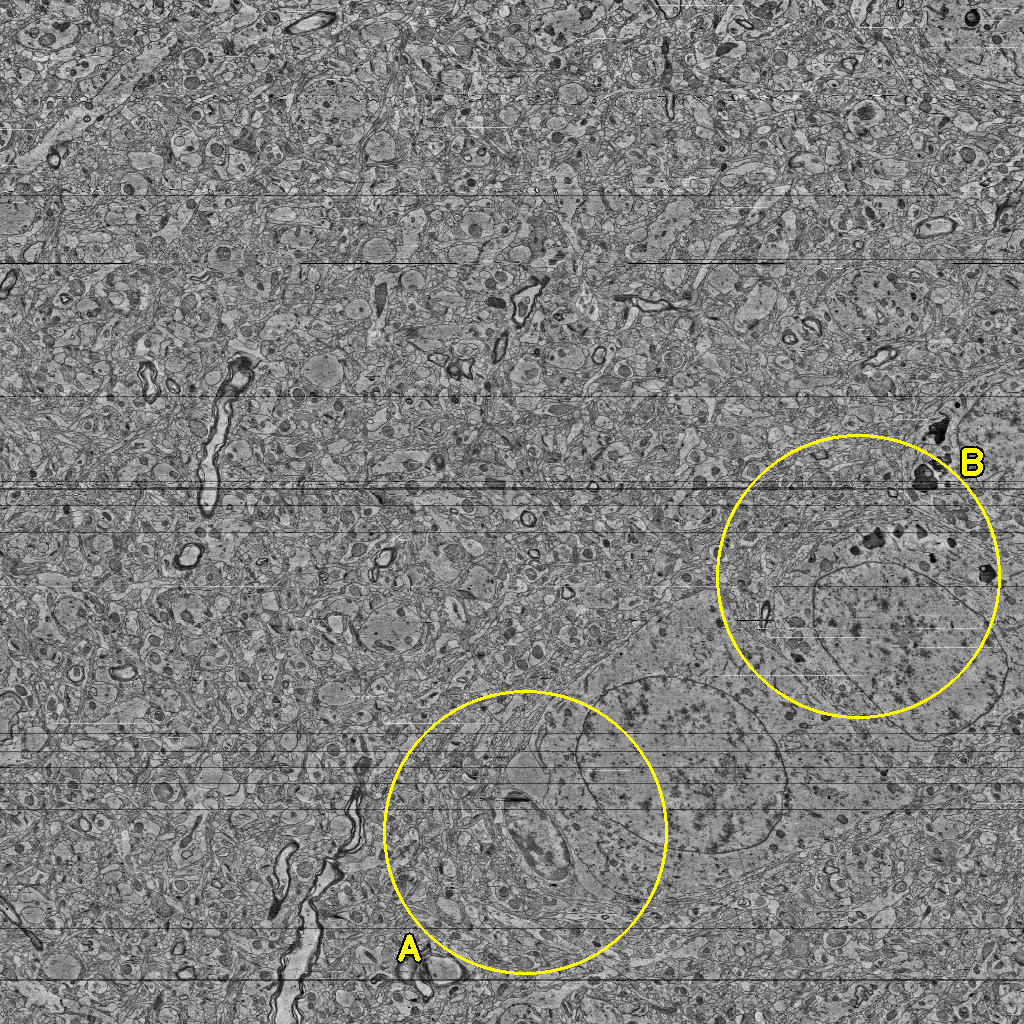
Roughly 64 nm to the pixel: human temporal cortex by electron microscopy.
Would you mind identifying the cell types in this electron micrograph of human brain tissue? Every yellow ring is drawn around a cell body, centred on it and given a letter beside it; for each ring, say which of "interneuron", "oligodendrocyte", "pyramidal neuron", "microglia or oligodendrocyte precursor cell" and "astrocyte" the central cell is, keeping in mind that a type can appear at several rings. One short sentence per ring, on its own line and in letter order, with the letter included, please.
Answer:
At the centre of ring A lies a microglial cell or oligodendrocyte precursor cell.
At the centre of ring B lies a pyramidal neuron.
